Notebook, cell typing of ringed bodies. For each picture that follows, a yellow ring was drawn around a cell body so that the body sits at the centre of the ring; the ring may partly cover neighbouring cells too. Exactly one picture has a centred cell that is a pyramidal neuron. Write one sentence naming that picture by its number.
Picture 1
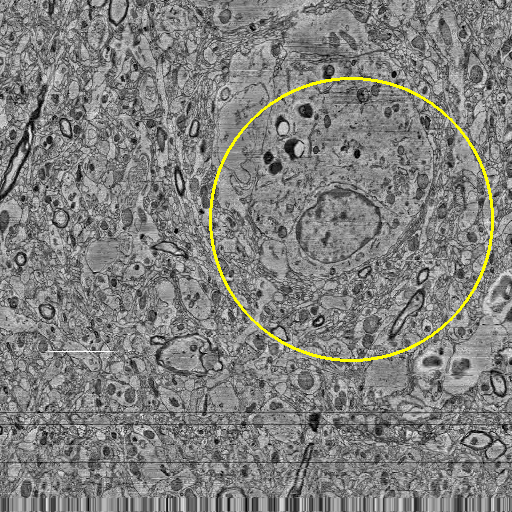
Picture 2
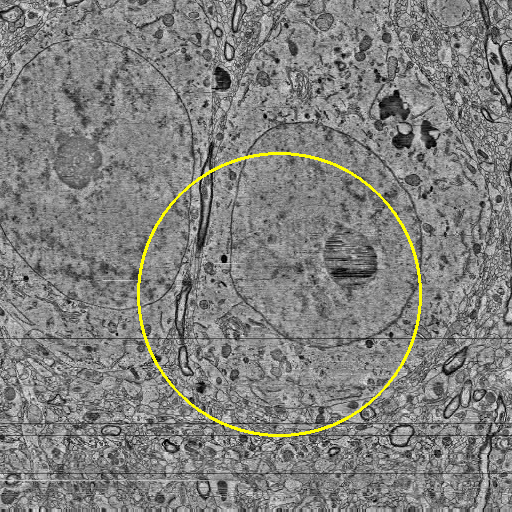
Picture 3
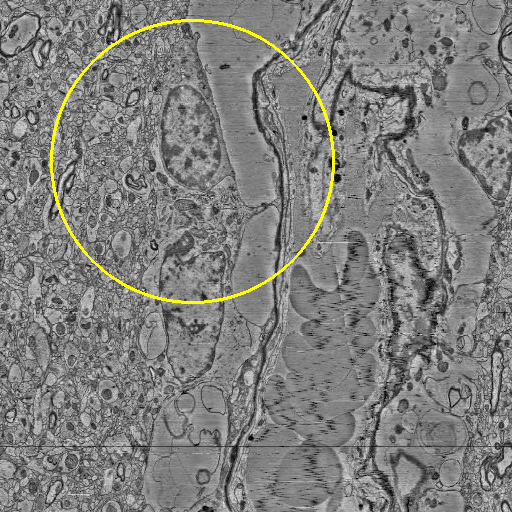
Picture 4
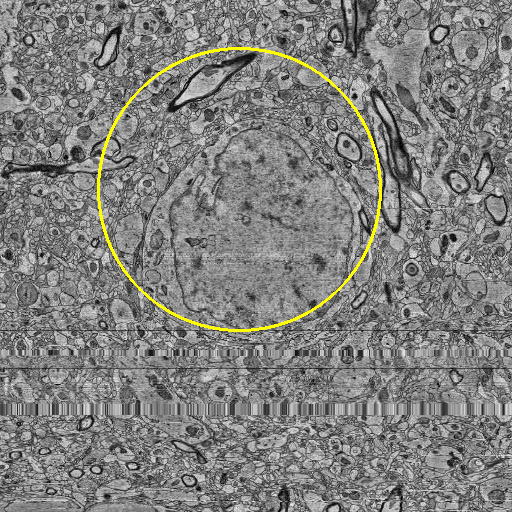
Picture 2 is the one with it at the centre of its ring.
